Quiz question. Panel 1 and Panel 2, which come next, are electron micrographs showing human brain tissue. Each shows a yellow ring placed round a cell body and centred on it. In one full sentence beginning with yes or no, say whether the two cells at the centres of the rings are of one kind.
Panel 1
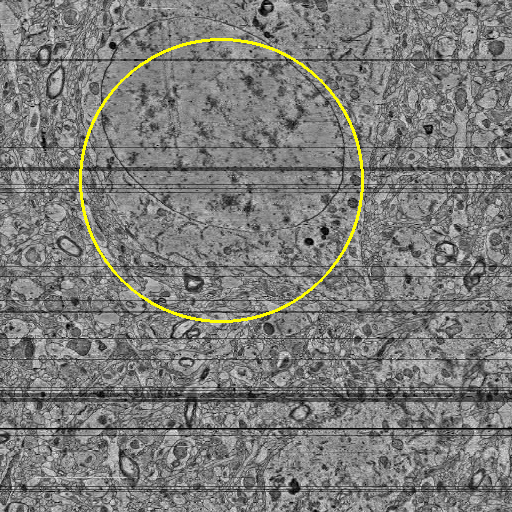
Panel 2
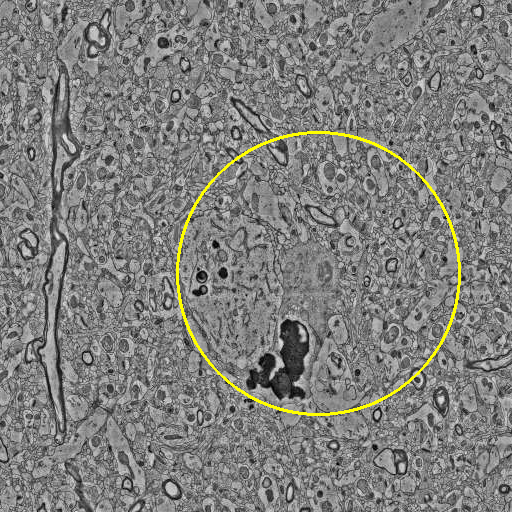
No, Panel 1 and Panel 2 show two kinds of cell at the centre of the ring.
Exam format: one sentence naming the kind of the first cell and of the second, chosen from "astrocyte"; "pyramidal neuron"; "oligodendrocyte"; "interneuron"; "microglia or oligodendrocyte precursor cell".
The first picture's cell is a pyramidal neuron, and the second picture's cell is an oligodendrocyte.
